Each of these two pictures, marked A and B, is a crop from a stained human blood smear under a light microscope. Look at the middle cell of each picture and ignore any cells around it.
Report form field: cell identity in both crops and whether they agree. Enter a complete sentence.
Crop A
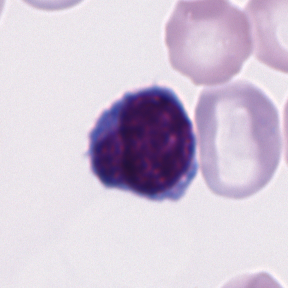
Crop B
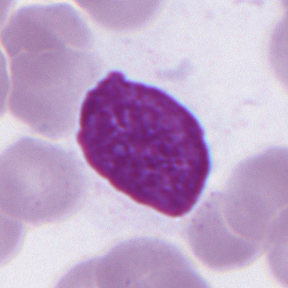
No, enter a typical lymphocyte for crop A and a smudge cell for crop B.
